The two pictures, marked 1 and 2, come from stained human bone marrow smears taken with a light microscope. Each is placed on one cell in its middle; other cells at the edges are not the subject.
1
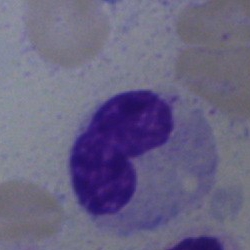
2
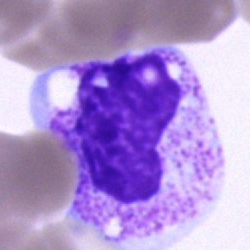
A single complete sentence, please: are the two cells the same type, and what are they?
No, a band neutrophil is shown in crop 1 and a metamyelocyte in crop 2.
